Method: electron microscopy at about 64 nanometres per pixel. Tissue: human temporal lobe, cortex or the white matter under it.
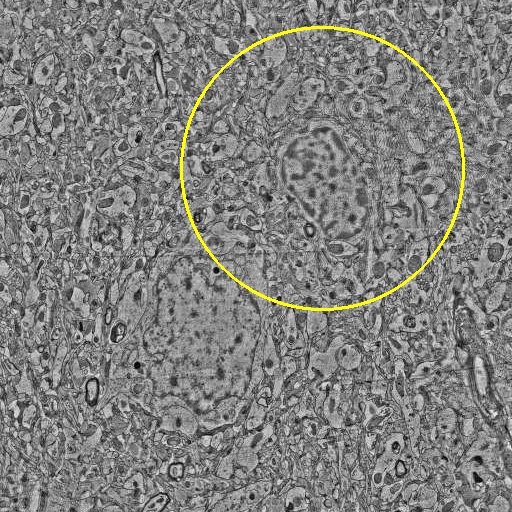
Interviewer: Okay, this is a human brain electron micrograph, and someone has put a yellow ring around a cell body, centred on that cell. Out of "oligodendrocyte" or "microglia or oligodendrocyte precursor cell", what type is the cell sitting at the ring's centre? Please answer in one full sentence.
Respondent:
The cell at the centre of the yellow ring in this picture is a microglial cell or oligodendrocyte precursor cell.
